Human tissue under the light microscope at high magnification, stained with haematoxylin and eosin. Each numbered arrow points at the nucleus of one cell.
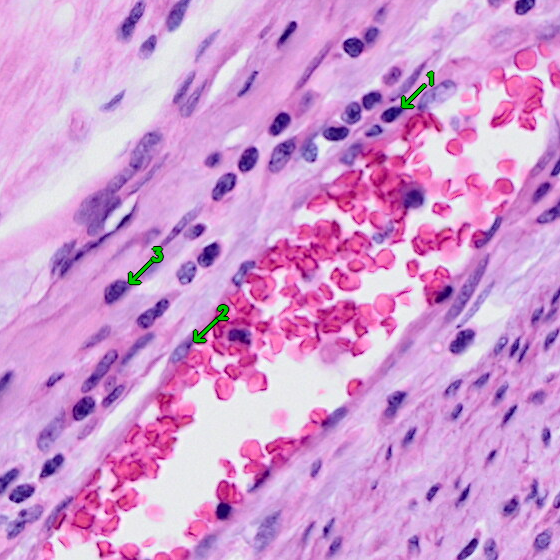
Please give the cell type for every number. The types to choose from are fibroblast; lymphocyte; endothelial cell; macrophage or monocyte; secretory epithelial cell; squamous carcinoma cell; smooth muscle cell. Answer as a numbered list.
1. lymphocyte
2. endothelial cell
3. lymphocyte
